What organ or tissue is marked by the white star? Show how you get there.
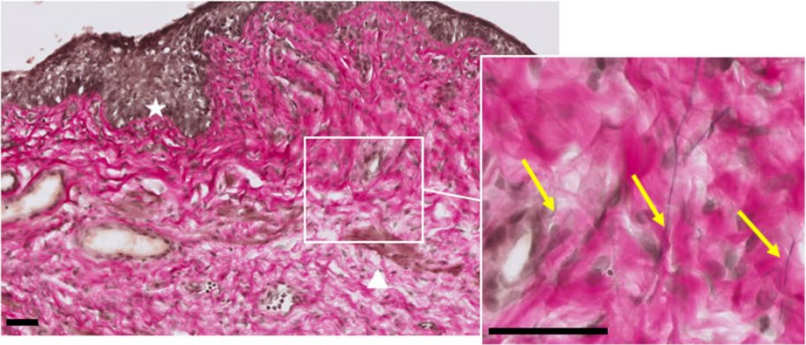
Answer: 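The star lies in a dark, densely cellular layer at the top surface. The layer has an undulating border with the pink underlying connective tissue. That points to this answer: epithelium.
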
